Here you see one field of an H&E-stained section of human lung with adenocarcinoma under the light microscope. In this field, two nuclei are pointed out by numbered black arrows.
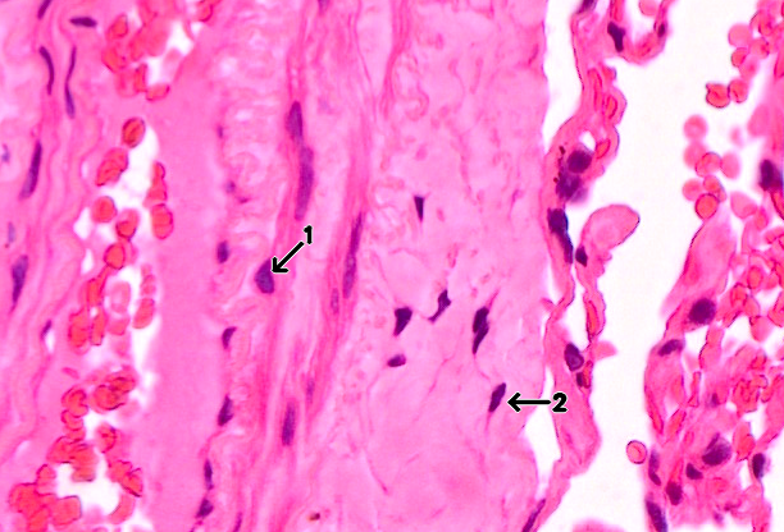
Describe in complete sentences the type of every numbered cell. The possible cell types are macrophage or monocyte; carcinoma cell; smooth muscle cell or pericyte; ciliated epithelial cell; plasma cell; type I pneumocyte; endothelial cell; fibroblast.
Cell 1 is a smooth muscle cell or pericyte. Cell 2 is a fibroblast.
